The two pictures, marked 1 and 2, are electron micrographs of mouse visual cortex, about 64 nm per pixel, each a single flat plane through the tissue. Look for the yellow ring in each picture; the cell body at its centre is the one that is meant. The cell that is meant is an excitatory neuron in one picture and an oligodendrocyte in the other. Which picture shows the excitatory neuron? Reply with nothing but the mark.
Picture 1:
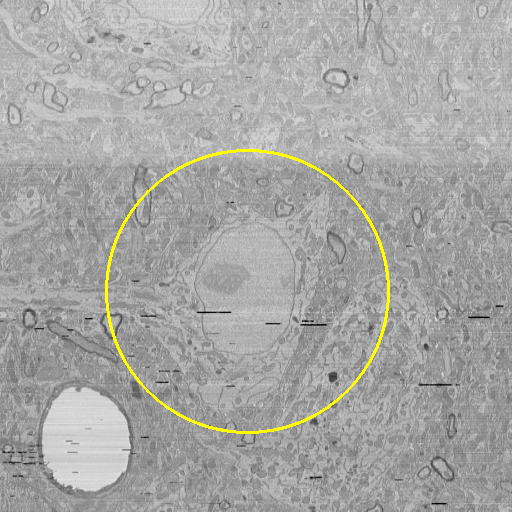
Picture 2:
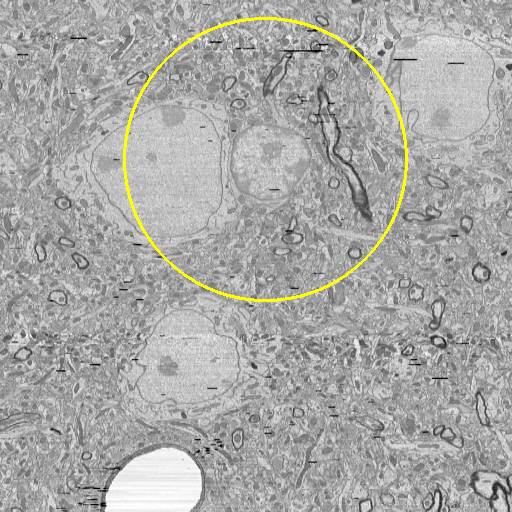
1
